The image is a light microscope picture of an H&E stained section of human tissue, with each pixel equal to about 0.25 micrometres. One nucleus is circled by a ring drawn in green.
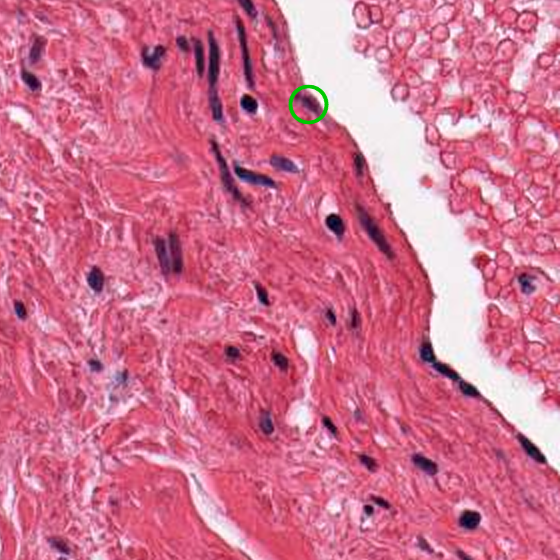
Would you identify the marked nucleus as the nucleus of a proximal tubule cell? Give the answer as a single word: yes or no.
no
